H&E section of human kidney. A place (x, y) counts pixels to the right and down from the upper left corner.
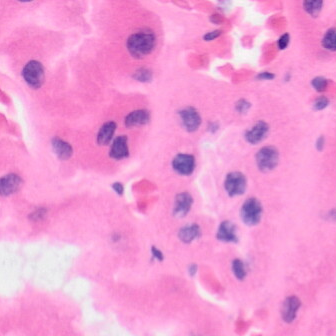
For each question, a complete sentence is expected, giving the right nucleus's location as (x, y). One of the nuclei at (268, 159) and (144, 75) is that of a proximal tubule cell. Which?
The nucleus at (144, 75) is the one that belongs to a proximal tubule cell.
